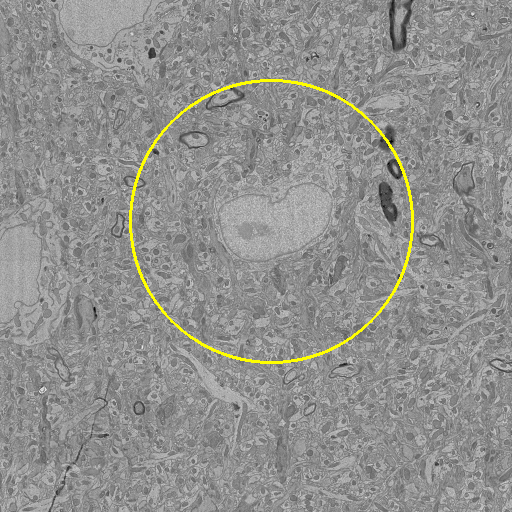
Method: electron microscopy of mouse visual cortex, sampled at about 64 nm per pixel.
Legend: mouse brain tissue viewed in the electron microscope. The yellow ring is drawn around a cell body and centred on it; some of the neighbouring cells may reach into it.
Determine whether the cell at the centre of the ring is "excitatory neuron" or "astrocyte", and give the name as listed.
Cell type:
astrocyte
